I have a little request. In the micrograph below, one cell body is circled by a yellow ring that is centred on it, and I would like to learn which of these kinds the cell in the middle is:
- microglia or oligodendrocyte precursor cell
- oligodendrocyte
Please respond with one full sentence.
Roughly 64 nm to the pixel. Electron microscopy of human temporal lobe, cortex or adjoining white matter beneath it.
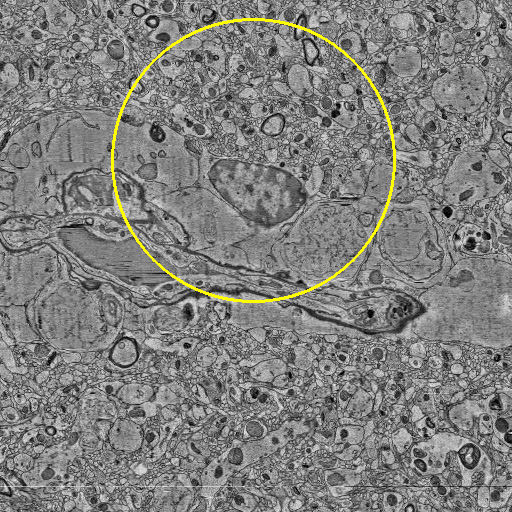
The cell sitting in the middle of the yellow ring in the micrograph is a microglial cell or oligodendrocyte precursor cell.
